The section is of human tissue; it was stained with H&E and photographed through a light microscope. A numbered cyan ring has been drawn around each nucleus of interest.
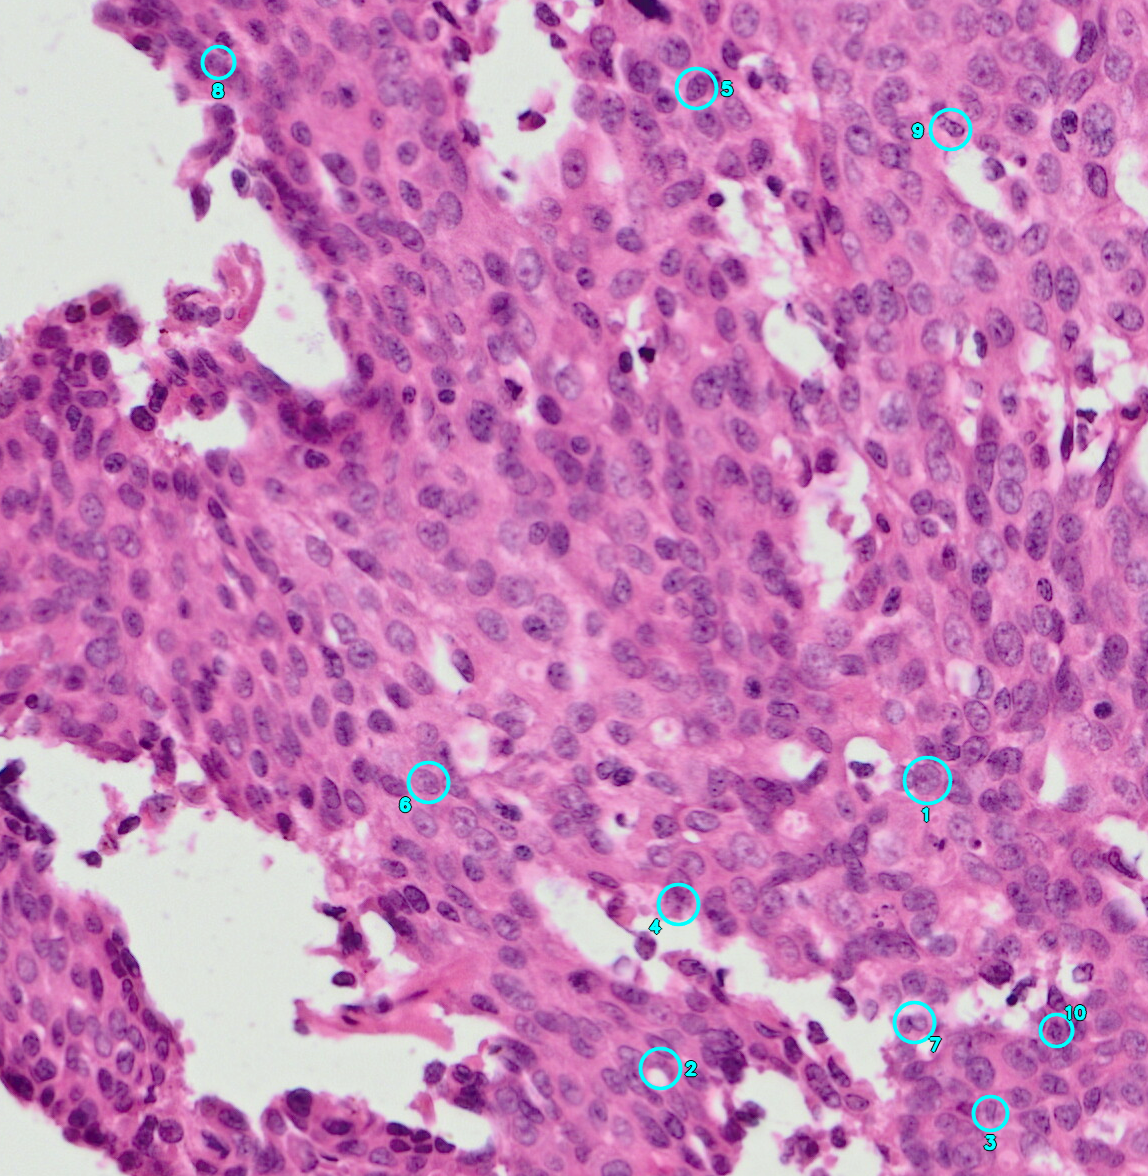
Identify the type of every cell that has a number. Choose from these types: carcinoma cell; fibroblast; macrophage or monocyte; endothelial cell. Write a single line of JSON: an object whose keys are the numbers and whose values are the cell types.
{"1": "carcinoma cell", "2": "carcinoma cell", "3": "macrophage or monocyte", "4": "carcinoma cell", "5": "macrophage or monocyte", "6": "carcinoma cell", "7": "macrophage or monocyte", "8": "carcinoma cell", "9": "macrophage or monocyte", "10": "carcinoma cell"}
